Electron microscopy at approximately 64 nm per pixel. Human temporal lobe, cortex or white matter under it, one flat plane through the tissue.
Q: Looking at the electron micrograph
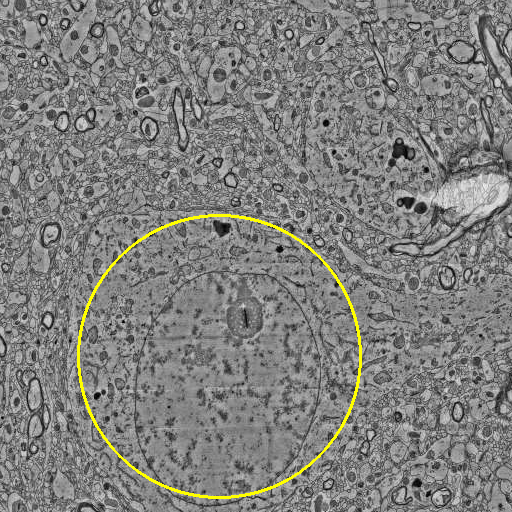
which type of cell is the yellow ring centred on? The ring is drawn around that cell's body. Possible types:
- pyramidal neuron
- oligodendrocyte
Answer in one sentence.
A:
The yellow ring is centred on a pyramidal neuron.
